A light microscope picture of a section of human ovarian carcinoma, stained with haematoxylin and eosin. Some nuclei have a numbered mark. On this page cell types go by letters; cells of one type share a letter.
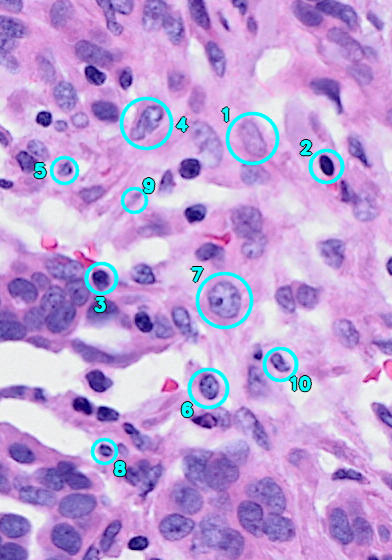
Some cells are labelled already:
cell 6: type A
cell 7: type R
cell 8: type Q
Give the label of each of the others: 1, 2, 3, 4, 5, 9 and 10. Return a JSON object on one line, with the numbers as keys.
{"1": "type R", "2": "type Q", "3": "type Q", "4": "type R", "5": "type Q", "9": "type R", "10": "type Q"}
